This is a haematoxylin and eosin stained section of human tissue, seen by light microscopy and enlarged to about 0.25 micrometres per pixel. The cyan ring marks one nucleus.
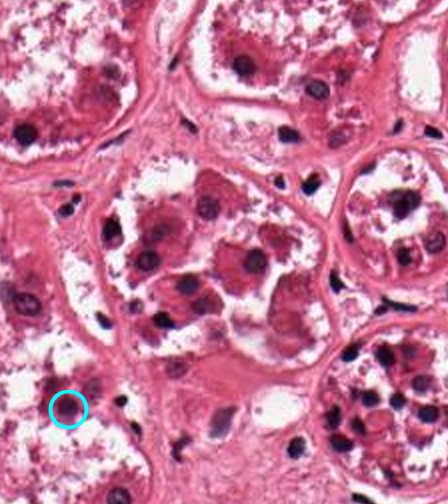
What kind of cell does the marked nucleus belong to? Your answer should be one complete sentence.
What is marked is the nucleus of a proximal tubule cell.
